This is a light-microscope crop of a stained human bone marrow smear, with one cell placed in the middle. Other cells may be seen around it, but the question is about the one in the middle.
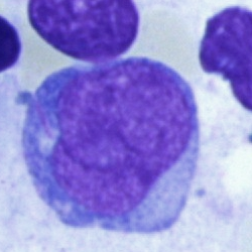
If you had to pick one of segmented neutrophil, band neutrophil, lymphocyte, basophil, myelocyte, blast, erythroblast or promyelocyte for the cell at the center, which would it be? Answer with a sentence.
The cell marked by its central position in the crop is a blast.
